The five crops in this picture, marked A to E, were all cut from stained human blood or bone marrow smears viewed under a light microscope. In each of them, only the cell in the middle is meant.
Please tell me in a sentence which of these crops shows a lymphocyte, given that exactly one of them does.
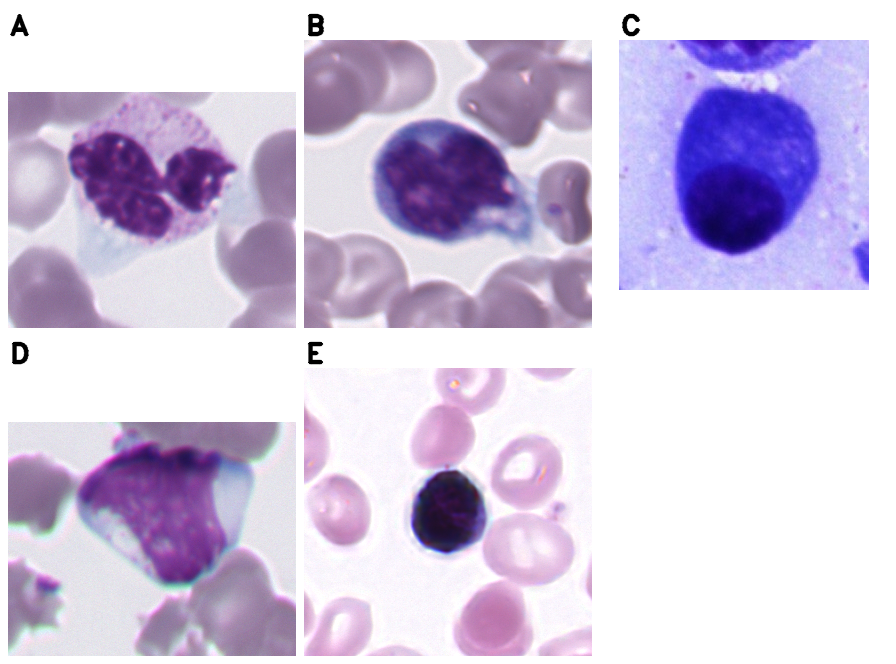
The one showing a lymphocyte is crop D.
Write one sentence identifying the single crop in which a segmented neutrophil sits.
Crop A is the correct crop, and it shows a segmented neutrophil.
